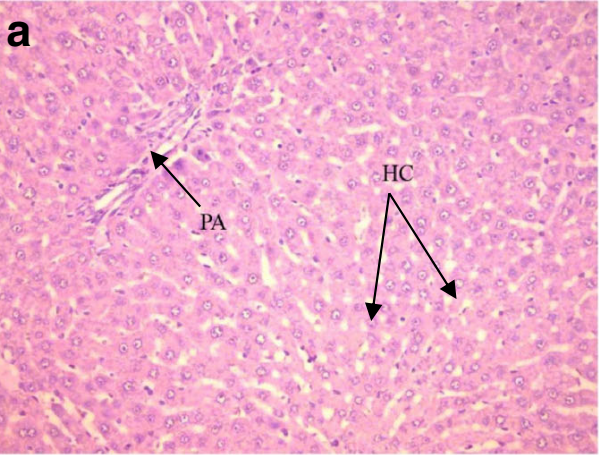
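Liver tissue in which hepatocytes with pink cytoplasm and round, centrally placed nuclei are arranged in plates separated by narrow pale sinusoids. At the upper left lies a small portal area of thin connective tissue with a vessel, with few nuclei and no dense cell clusters around it.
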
